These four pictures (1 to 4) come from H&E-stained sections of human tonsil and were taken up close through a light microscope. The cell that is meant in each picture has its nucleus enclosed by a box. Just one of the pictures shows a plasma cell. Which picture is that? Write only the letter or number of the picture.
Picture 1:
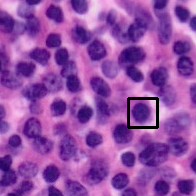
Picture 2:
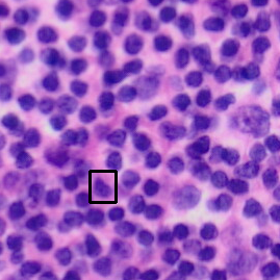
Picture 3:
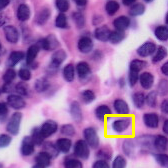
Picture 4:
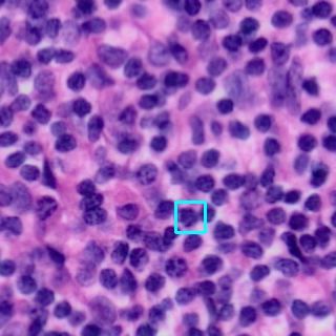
1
